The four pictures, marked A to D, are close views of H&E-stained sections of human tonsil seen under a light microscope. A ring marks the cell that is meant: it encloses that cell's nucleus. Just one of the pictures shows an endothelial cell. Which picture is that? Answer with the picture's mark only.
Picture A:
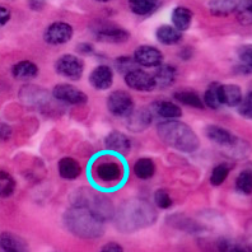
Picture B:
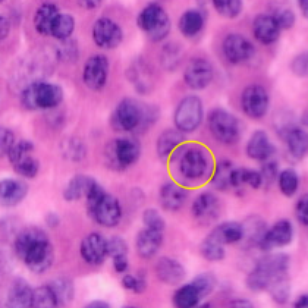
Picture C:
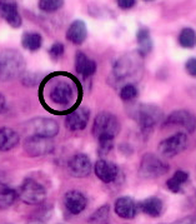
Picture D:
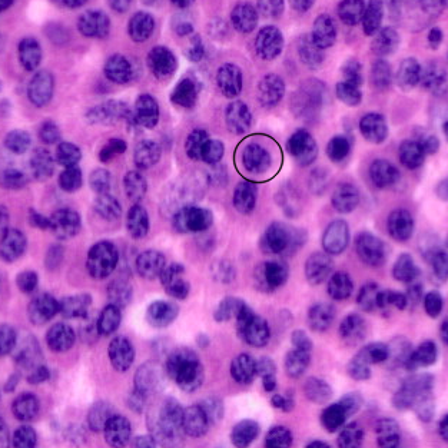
A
